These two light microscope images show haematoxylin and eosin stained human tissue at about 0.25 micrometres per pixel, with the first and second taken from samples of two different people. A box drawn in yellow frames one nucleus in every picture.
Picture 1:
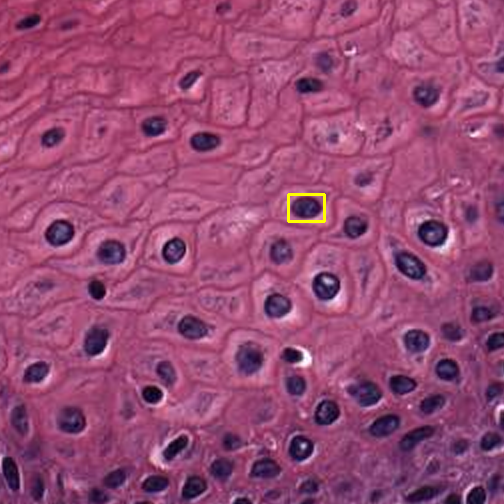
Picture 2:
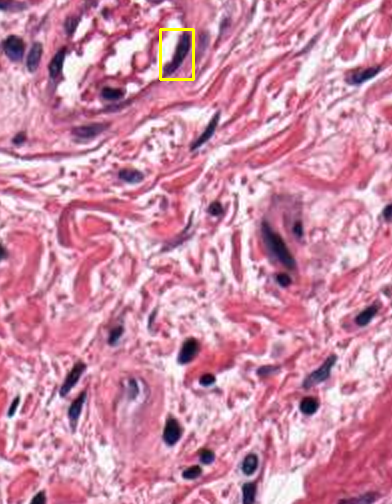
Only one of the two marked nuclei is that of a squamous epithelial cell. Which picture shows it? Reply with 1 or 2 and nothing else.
1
